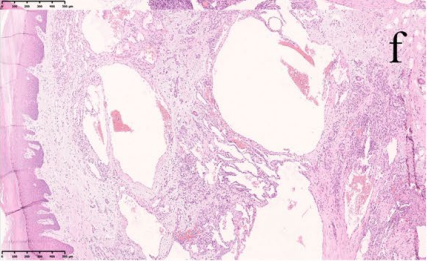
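This is skin at low power: along the left edge runs the surface epithelium, and to its right lies the pink connective tissue of the dermis. Within the dermis there are several large, widely opened vascular spaces with very thin walls, some of them irregular or slit-like in outline. A few of these spaces hold pink red blood cells, while others look empty. Around them the dermis is loose and pale, with denser, more cellular pink-purple areas towards the right side.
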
